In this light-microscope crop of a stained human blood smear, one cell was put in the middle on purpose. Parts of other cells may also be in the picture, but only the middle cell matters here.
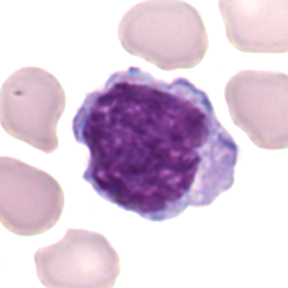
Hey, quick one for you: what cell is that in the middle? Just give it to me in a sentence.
Where the crop is centred, there is a plasma cell.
